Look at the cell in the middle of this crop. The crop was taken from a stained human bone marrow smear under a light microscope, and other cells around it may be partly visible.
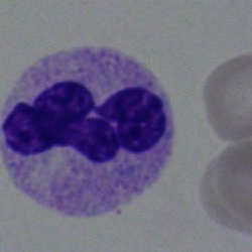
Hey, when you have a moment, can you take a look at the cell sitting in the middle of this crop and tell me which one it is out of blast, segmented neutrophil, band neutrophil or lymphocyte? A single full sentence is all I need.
The central cell, amid any neighbouring cells, is a segmented neutrophil.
